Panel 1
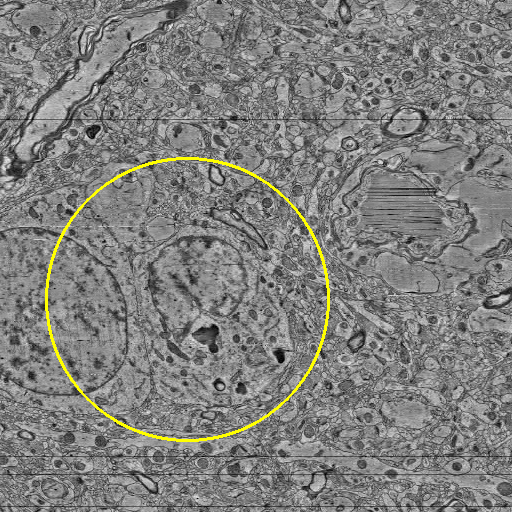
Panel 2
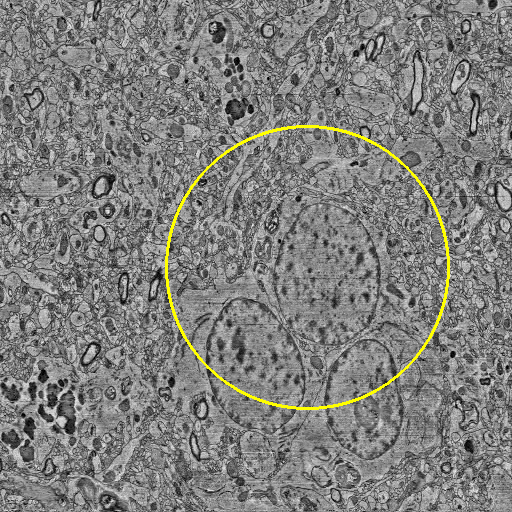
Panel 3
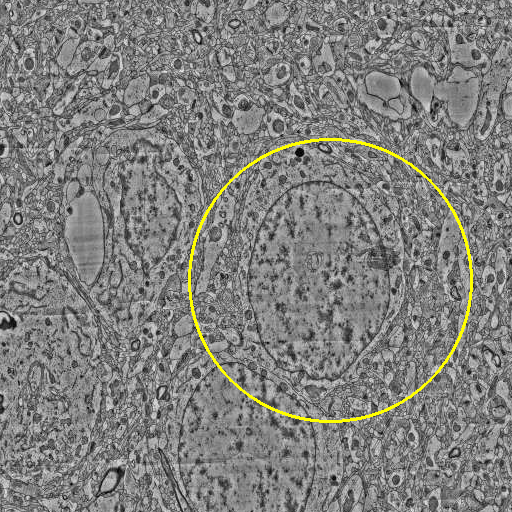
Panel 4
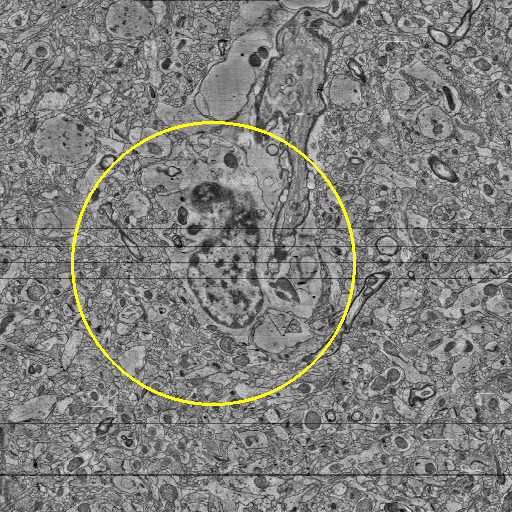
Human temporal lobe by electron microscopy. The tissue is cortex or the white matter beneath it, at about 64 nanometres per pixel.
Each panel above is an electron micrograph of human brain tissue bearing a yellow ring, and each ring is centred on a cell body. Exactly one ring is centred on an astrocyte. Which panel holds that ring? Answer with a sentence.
That ring is in Panel 2.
